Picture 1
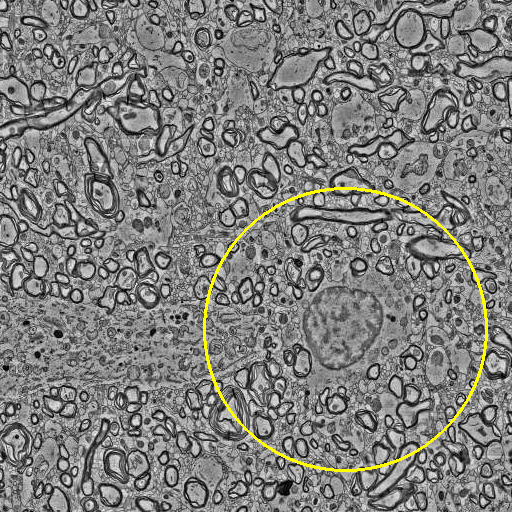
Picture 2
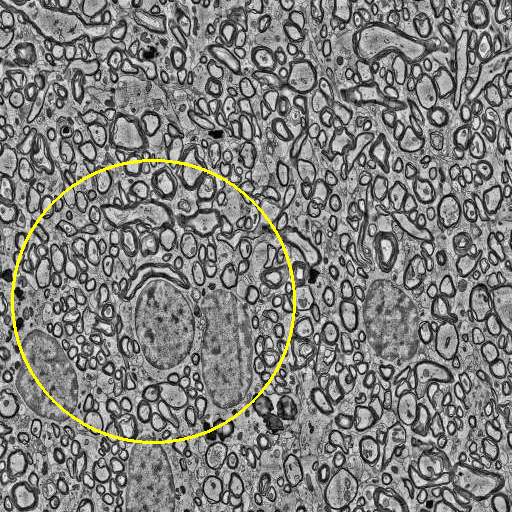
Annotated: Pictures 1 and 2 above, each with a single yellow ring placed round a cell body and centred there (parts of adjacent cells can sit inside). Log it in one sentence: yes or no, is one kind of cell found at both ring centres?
No, the ring centres of the two pictures hold cells of two kinds.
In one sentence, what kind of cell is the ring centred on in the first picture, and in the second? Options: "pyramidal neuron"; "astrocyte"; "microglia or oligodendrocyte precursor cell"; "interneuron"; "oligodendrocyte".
The cell at the centre of the second ring is a microglial cell or oligodendrocyte precursor cell; the first ring's cell is an oligodendrocyte.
